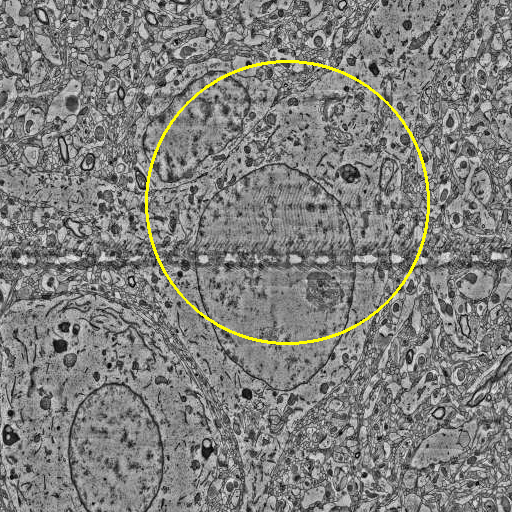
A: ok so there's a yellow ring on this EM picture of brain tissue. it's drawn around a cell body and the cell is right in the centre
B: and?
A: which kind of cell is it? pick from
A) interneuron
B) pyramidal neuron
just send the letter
B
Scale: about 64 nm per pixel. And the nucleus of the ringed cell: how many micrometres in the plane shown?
Approximately 14 by 10 micrometers in this plane.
